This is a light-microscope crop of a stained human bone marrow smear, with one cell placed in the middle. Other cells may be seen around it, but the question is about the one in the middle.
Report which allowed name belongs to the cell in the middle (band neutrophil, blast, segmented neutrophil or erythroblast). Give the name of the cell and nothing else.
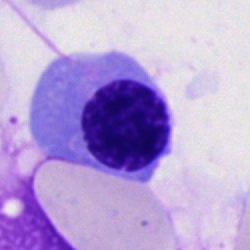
erythroblast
